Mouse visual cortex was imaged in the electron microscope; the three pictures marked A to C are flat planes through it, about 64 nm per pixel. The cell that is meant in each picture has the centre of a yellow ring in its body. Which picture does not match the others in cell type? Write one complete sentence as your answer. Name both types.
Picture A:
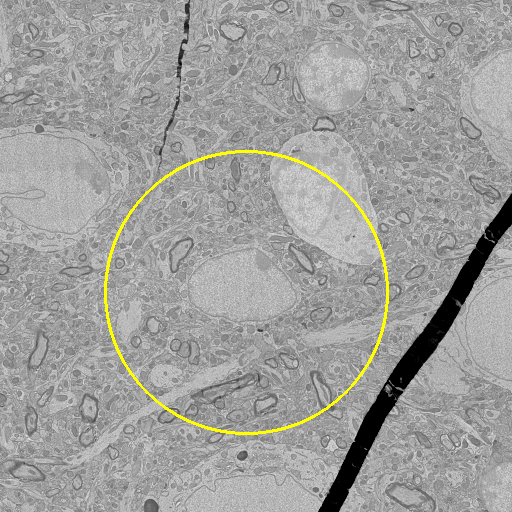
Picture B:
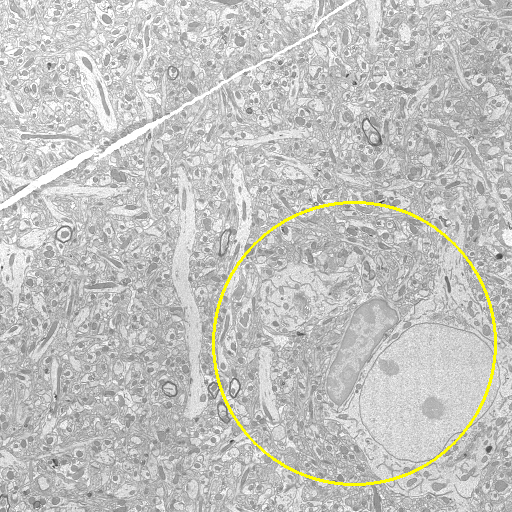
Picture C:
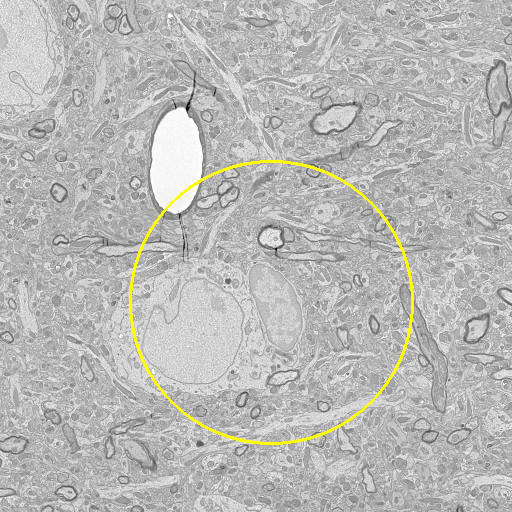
The others show microglial cells, but picture A shows an astrocyte.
